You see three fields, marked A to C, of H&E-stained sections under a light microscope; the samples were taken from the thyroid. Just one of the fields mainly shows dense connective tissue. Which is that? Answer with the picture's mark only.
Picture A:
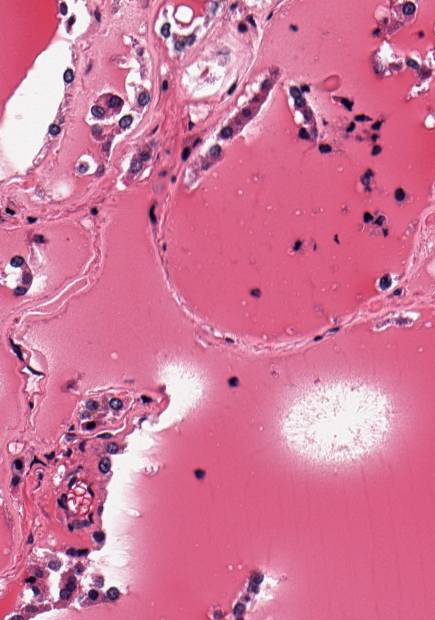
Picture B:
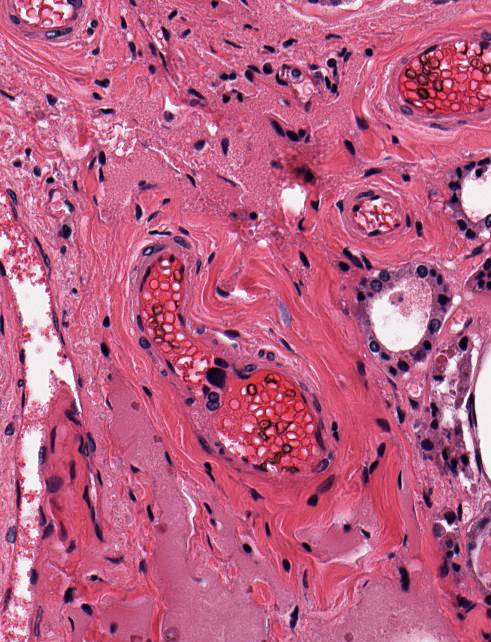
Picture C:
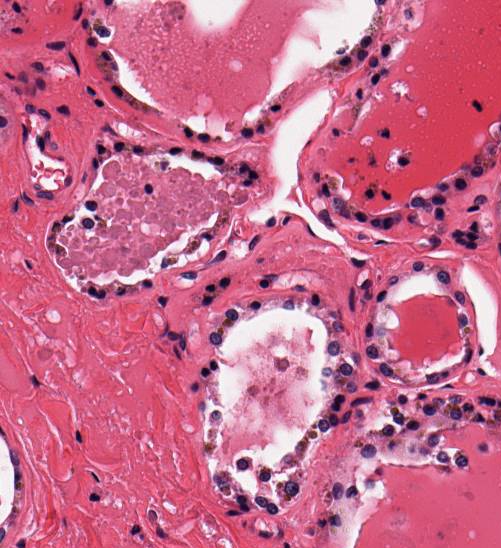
B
